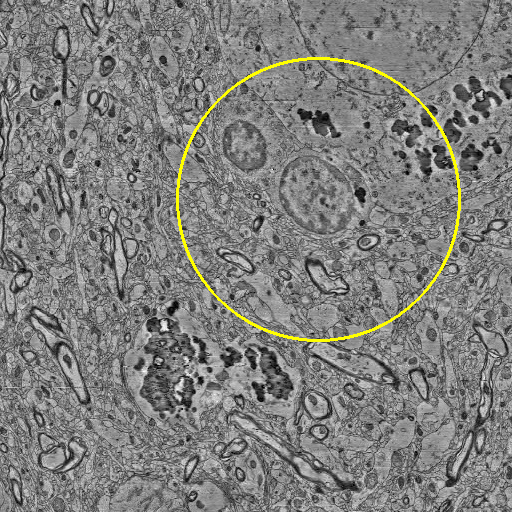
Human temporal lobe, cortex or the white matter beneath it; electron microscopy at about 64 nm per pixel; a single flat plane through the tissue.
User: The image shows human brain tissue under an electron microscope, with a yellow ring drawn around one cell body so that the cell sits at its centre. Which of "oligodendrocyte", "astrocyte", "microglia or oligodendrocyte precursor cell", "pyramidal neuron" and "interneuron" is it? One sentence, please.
At the centre of the ring sits an oligodendrocyte.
